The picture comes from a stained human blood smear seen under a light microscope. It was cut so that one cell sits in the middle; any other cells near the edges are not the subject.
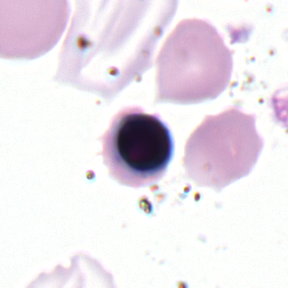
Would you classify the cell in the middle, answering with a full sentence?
The cell centered in this field of view is a normoblast.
